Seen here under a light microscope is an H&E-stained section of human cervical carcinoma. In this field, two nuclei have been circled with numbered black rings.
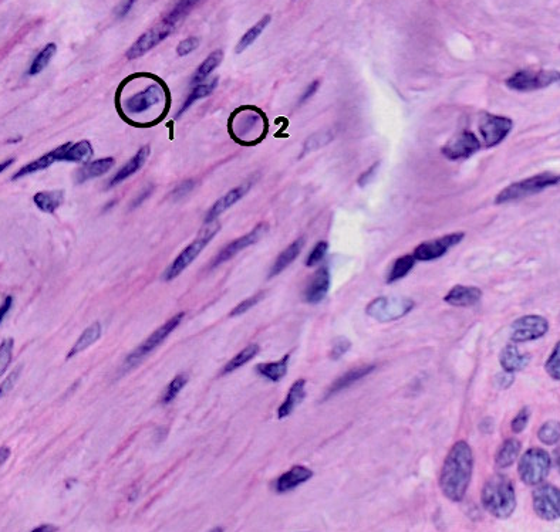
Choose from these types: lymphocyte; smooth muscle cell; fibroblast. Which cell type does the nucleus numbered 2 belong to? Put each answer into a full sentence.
The identity of cell 2 is that of a smooth muscle cell.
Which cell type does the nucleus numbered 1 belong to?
Among the marked nuclei, number 1 belongs to a fibroblast.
